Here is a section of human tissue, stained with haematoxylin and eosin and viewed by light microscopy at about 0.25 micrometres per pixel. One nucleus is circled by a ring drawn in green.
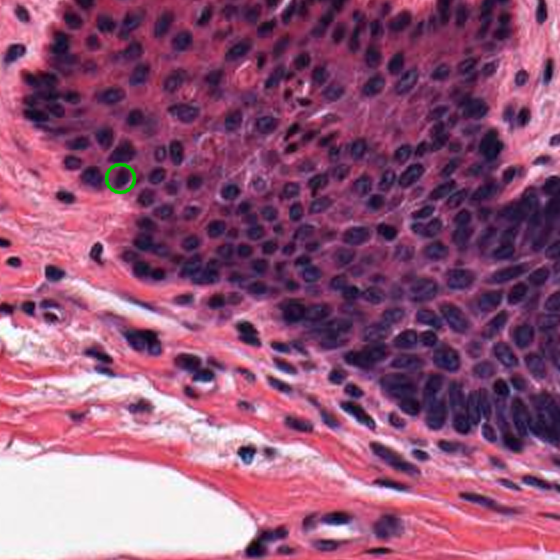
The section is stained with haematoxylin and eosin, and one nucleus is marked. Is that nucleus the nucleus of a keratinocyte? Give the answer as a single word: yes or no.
yes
